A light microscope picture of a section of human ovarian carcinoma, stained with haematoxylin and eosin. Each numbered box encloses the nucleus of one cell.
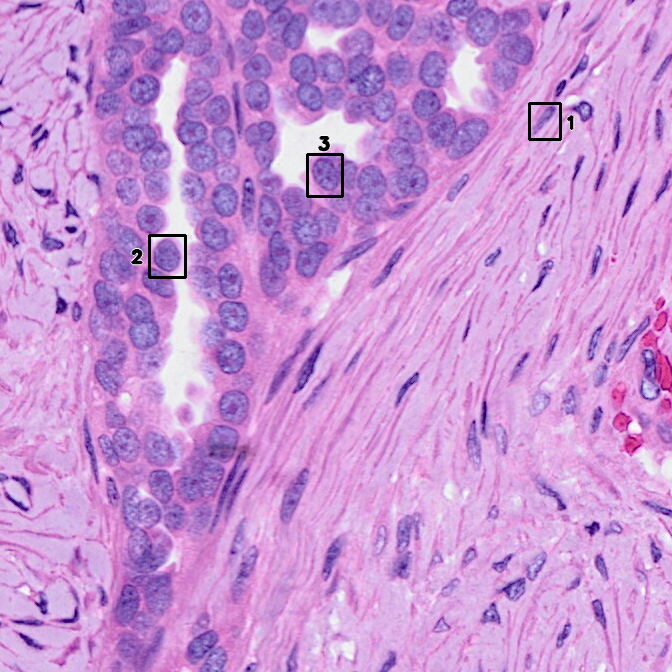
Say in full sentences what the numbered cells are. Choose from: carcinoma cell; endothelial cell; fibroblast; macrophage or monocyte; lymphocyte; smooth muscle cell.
Cell 1 is a fibroblast, cell 2 is a carcinoma cell and cell 3 is a carcinoma cell.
